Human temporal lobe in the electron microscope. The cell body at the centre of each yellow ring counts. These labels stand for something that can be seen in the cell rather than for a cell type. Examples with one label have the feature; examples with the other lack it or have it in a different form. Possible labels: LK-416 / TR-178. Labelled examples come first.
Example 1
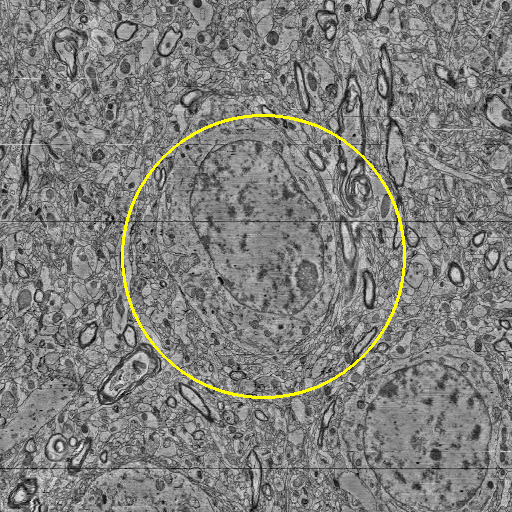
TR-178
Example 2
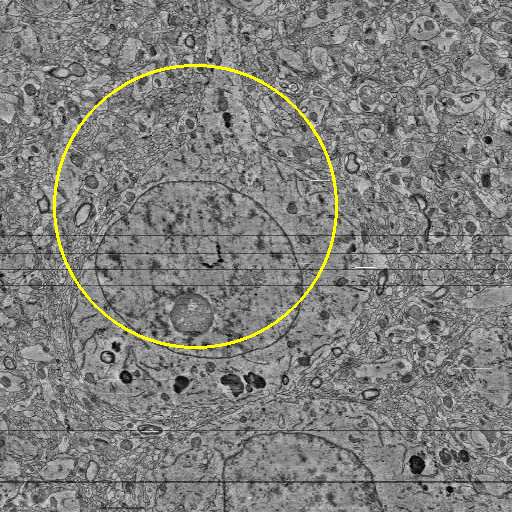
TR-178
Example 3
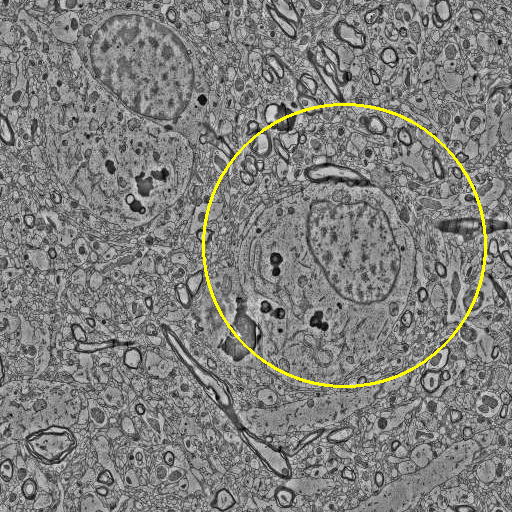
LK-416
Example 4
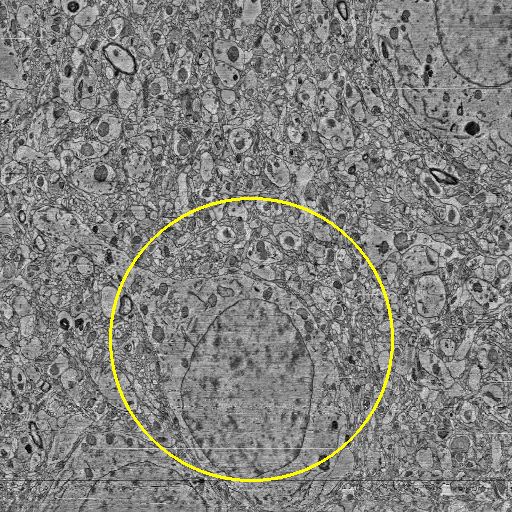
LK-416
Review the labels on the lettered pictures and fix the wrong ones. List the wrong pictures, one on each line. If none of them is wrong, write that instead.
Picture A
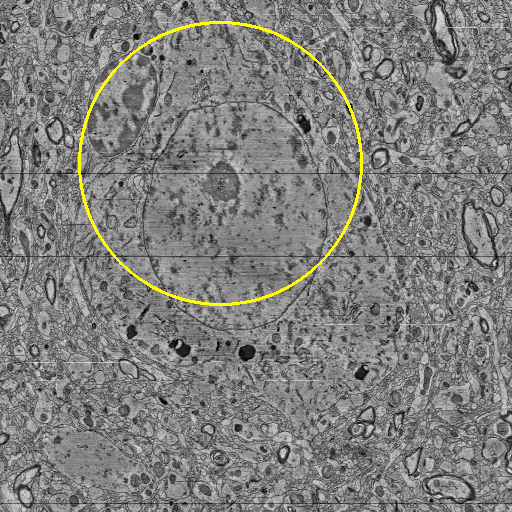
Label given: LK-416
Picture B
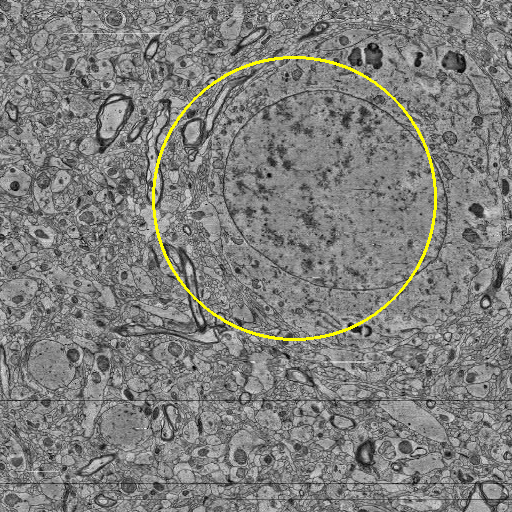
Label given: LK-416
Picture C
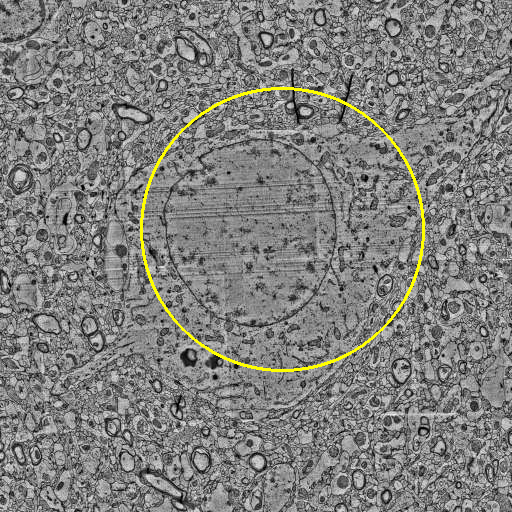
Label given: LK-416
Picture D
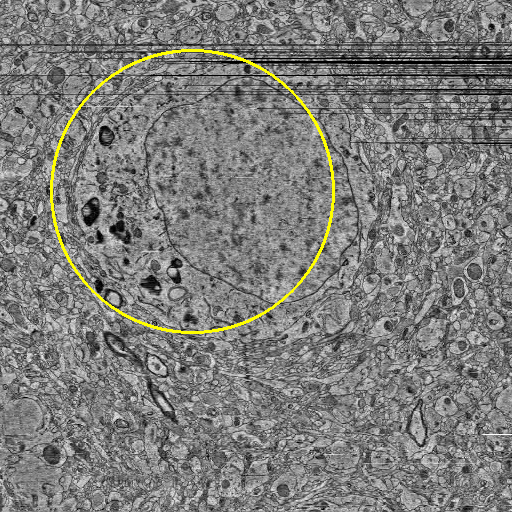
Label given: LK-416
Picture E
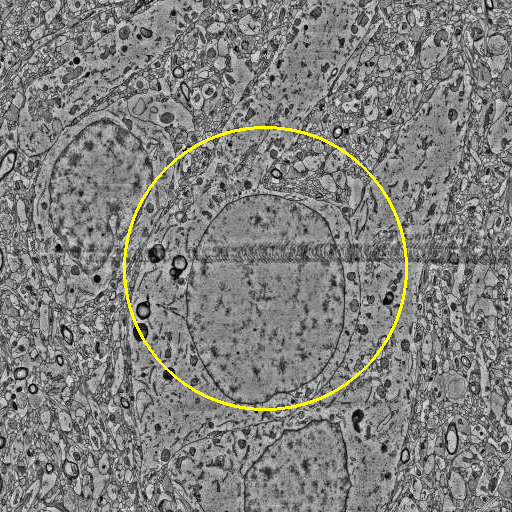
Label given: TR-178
A: change LK-416 to TR-178
E: change TR-178 to LK-416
